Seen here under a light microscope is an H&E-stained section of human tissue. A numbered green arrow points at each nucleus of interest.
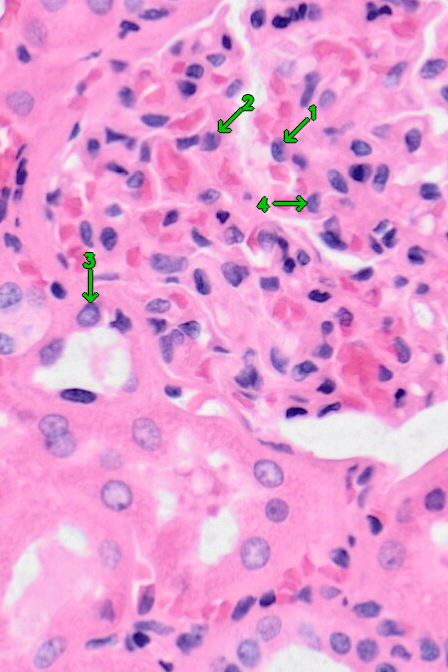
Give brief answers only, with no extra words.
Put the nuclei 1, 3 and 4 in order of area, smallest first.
4, 1, 3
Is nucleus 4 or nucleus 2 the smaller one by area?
4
